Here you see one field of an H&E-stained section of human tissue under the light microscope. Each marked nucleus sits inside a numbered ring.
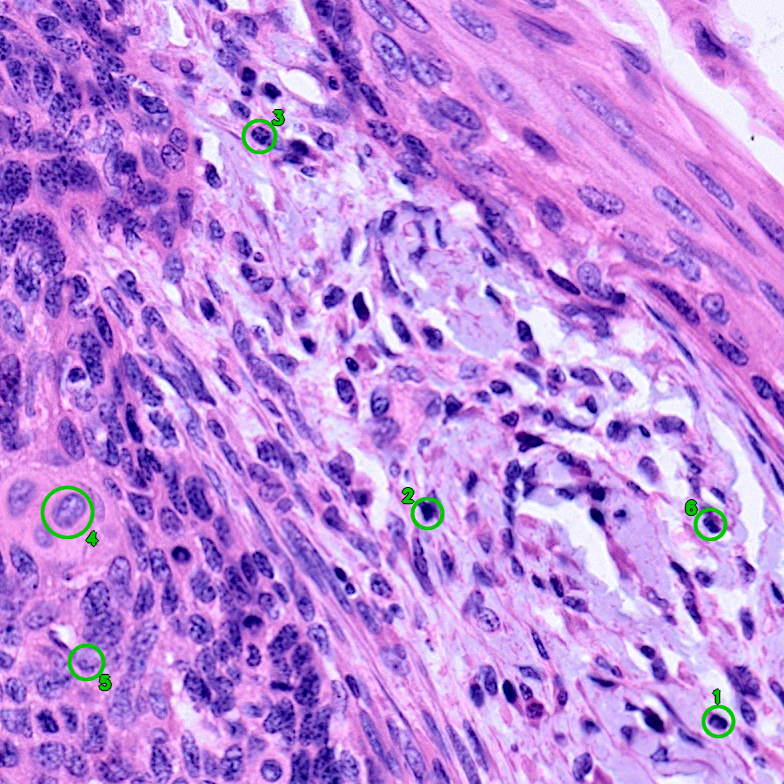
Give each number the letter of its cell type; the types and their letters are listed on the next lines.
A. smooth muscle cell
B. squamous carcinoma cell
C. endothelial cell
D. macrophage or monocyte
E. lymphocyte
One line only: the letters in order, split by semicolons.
E; E; E; B; B; E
